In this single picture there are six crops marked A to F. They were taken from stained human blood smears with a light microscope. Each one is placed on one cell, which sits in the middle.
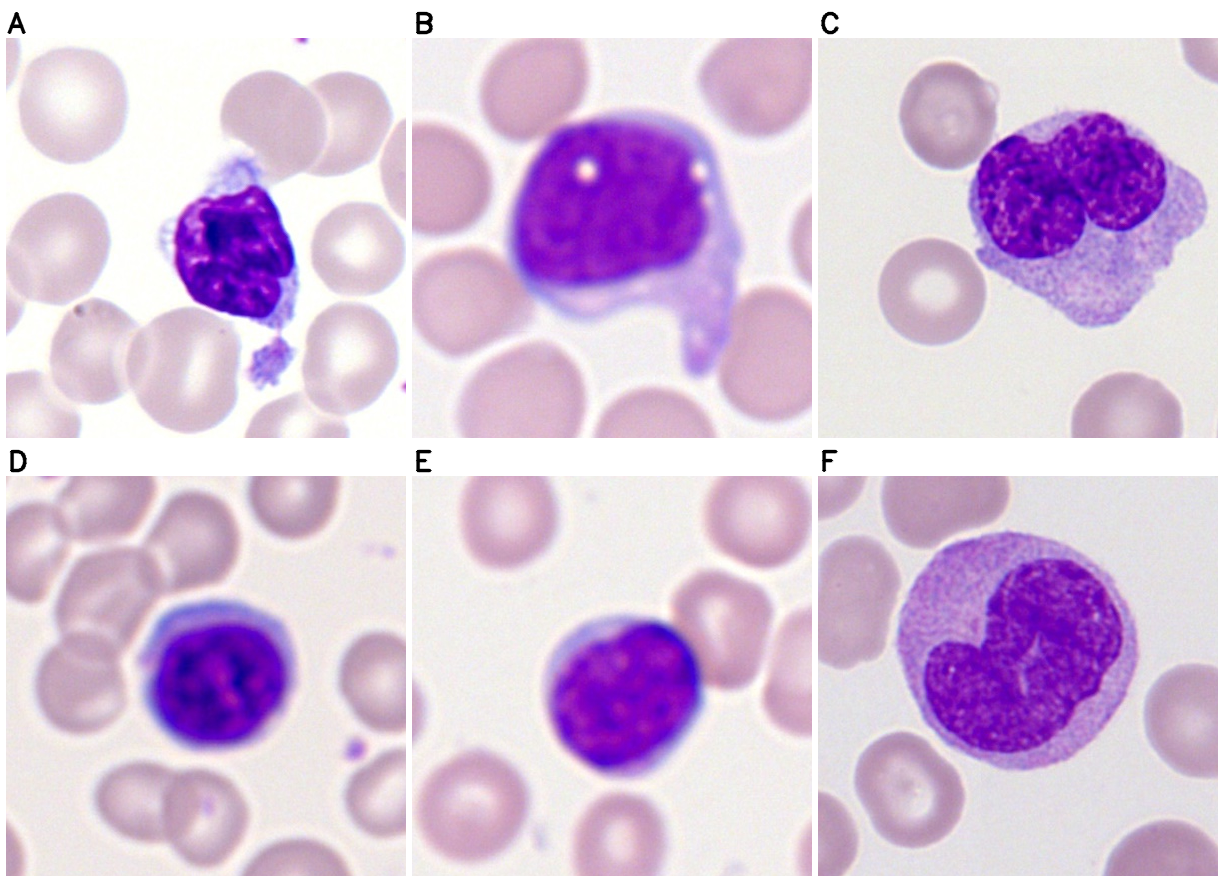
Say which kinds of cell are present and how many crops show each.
lymphocyte: 3
monocyte: 3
